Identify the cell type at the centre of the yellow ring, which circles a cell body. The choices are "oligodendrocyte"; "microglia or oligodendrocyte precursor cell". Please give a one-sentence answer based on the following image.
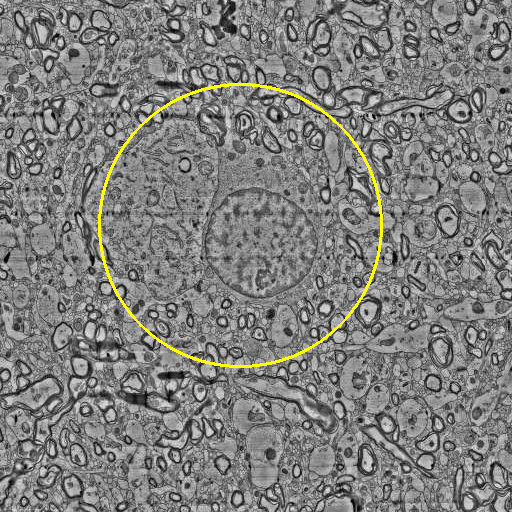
The cell marked by the ring is an oligodendrocyte.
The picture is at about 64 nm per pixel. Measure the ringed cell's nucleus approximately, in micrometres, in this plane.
The nucleus is about 7 micrometres across in this plane.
